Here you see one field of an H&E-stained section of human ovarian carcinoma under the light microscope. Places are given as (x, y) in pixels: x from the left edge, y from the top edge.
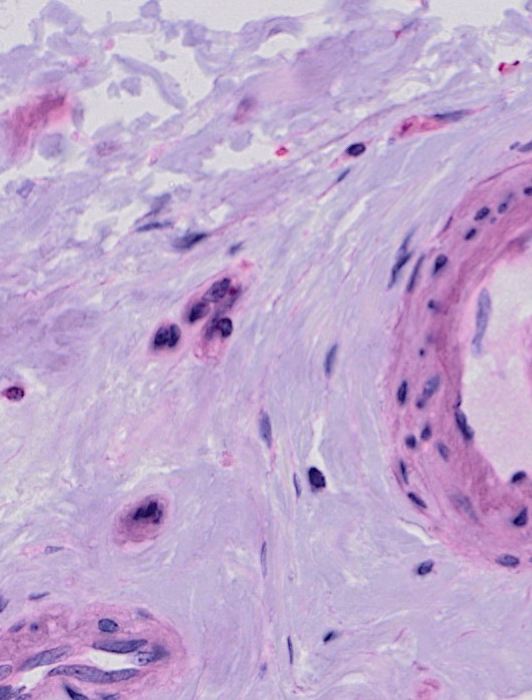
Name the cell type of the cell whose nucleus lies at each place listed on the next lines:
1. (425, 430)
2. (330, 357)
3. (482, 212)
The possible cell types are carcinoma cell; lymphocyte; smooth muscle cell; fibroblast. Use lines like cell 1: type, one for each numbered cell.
cell 1: smooth muscle cell
cell 2: fibroblast
cell 3: smooth muscle cell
